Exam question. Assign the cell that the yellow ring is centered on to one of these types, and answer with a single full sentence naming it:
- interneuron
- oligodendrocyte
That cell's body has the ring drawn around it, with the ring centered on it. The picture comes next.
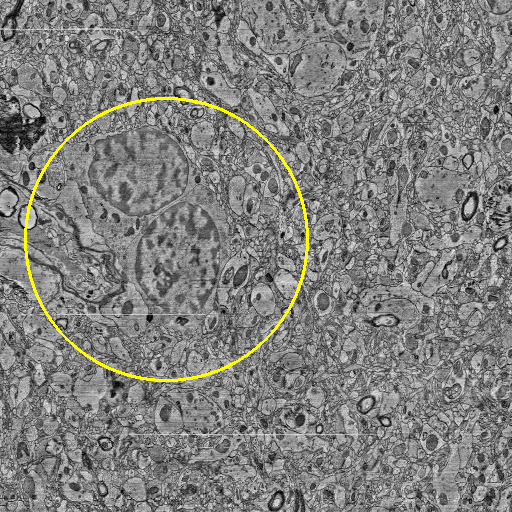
In the micrograph, the cell the yellow ring is centered on is an oligodendrocyte.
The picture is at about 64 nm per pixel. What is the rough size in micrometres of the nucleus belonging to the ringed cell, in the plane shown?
The nucleus comes to roughly 8 by 5 micrometres in this plane.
